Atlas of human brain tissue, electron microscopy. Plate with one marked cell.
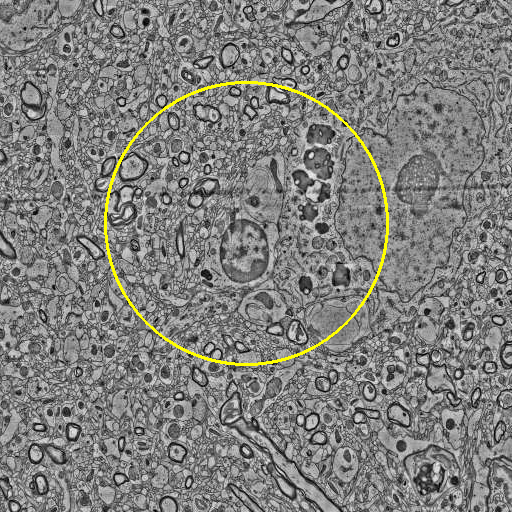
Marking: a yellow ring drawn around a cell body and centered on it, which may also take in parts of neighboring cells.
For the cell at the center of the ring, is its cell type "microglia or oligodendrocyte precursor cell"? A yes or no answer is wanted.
Yes, that is its cell type.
